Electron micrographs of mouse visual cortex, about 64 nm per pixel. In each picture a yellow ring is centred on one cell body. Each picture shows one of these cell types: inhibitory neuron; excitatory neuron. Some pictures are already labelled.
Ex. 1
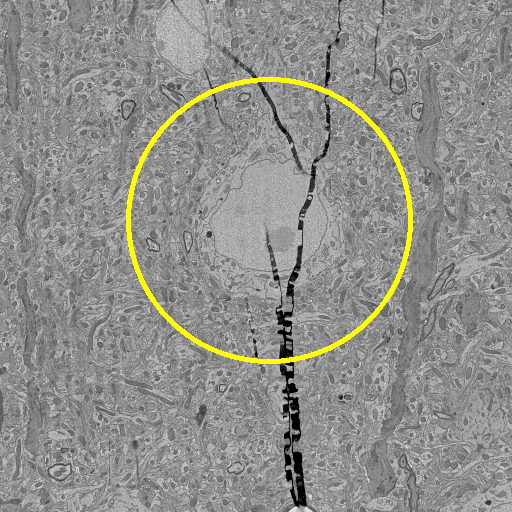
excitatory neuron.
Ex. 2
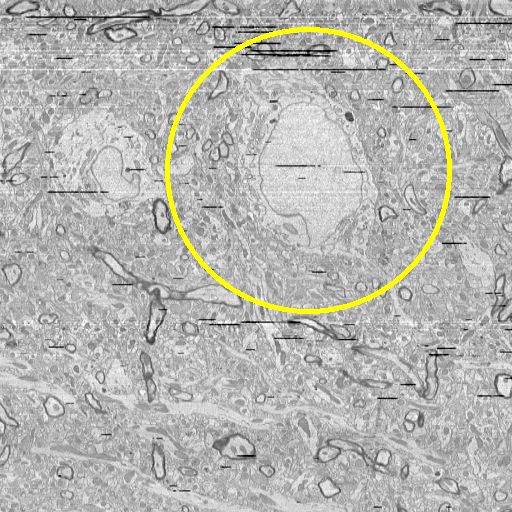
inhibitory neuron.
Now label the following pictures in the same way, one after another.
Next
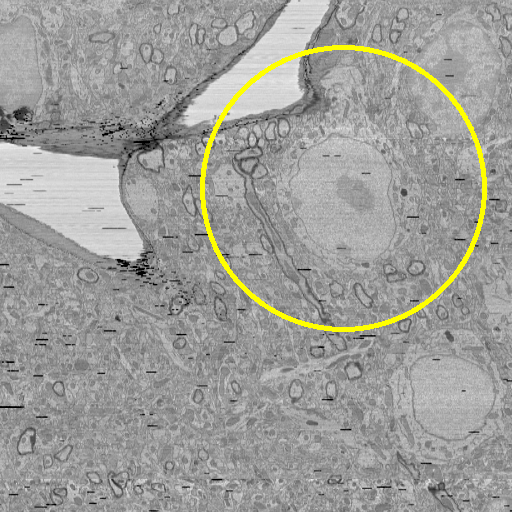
excitatory neuron.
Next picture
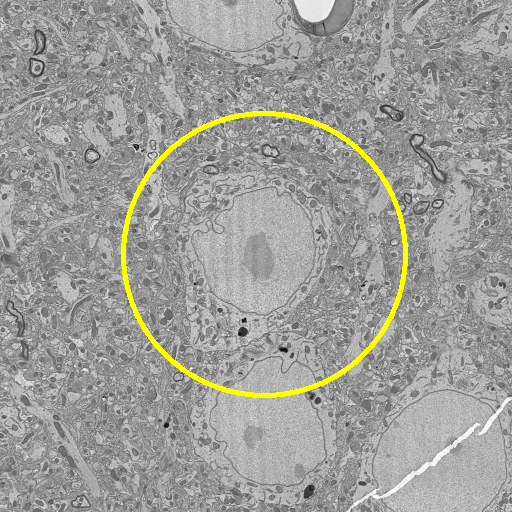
inhibitory neuron.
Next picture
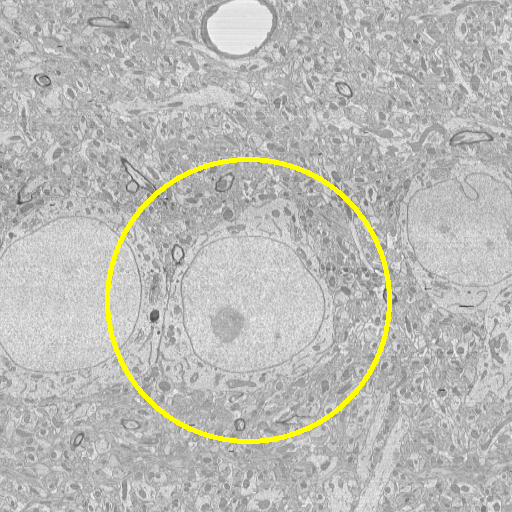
excitatory neuron.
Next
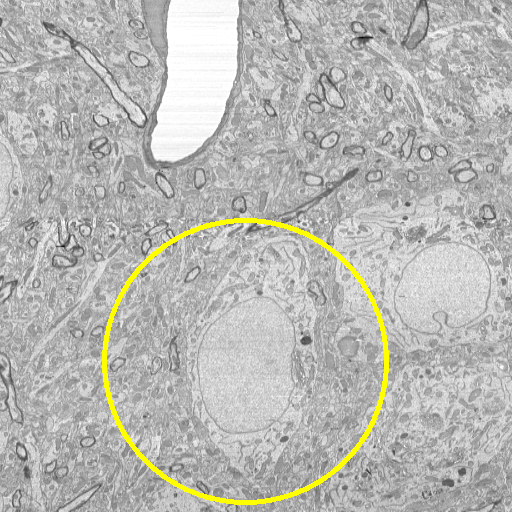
inhibitory neuron.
